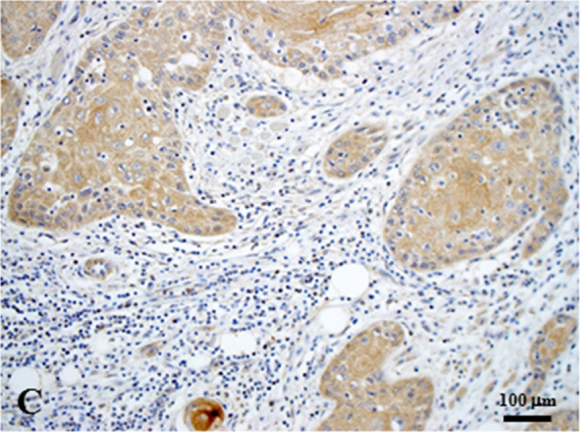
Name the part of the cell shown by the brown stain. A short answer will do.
Cytoplasm.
